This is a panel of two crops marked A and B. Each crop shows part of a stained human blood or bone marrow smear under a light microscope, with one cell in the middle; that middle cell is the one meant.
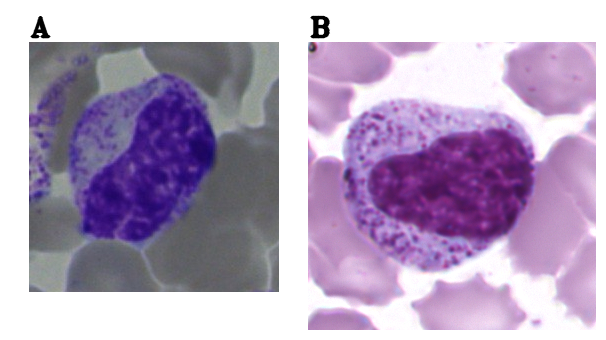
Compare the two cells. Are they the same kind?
no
